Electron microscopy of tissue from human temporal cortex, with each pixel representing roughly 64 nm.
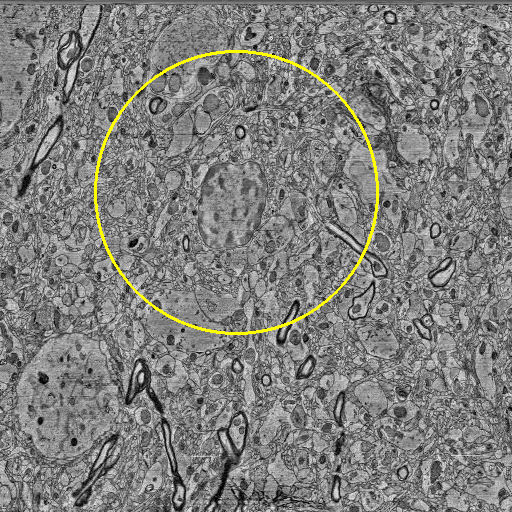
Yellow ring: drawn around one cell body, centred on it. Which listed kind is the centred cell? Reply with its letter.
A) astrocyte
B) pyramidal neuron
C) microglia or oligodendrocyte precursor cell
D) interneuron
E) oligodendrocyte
C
